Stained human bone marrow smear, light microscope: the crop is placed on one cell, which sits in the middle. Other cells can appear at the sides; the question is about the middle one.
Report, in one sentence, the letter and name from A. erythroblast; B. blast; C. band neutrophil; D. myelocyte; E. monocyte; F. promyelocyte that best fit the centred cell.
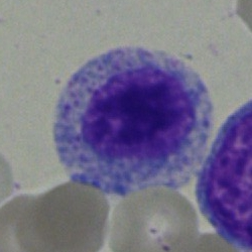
The middle of the crop contains a myelocyte, so option D is right.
